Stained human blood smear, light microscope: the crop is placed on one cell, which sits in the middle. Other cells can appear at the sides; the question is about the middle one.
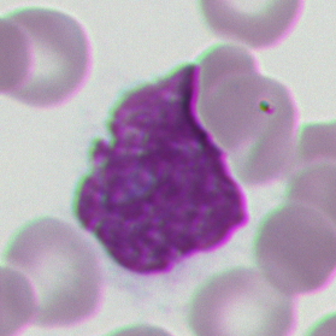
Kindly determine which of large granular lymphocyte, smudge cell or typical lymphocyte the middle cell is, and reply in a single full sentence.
In the crop, the cell of interest at the centre is a smudge cell.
